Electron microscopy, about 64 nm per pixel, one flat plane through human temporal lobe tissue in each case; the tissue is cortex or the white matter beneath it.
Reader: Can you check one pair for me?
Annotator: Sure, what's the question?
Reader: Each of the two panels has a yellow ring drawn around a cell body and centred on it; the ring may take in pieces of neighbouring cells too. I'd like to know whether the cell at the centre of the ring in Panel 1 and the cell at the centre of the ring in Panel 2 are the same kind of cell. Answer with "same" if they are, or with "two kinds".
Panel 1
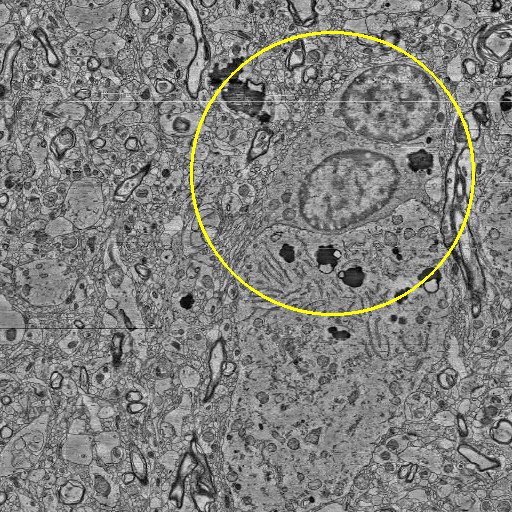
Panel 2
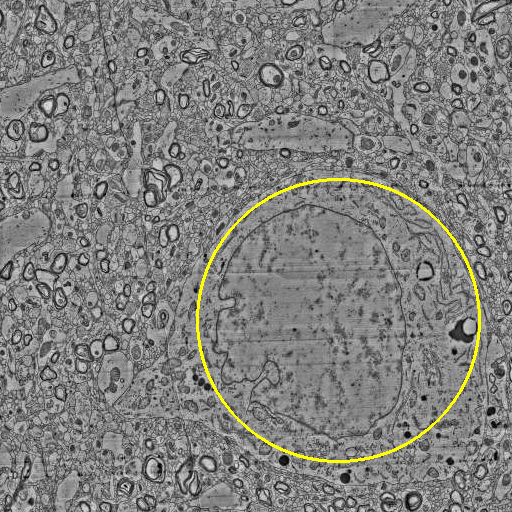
two kinds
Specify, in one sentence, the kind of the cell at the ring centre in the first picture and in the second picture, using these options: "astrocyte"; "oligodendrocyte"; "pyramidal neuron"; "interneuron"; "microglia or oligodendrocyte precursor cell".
So the first is an oligodendrocyte, the second a pyramidal neuron.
